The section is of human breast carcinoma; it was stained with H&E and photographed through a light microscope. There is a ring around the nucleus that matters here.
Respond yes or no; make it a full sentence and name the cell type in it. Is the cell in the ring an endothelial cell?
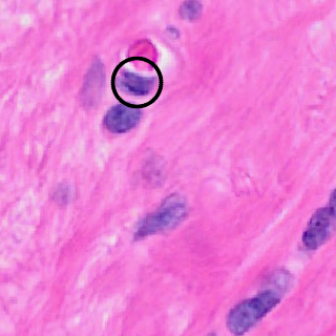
Yes, the cell in the ring is identified as an endothelial cell in this section.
